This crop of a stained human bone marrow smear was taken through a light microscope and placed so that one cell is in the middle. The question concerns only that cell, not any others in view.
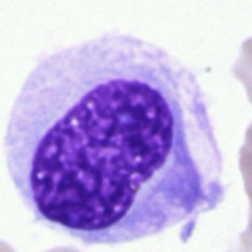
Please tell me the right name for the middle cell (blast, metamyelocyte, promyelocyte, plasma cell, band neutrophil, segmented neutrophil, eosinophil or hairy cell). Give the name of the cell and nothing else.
hairy cell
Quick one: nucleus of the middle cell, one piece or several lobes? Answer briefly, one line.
Key feature: a single compact nucleus, round, oval or kidney-shaped.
